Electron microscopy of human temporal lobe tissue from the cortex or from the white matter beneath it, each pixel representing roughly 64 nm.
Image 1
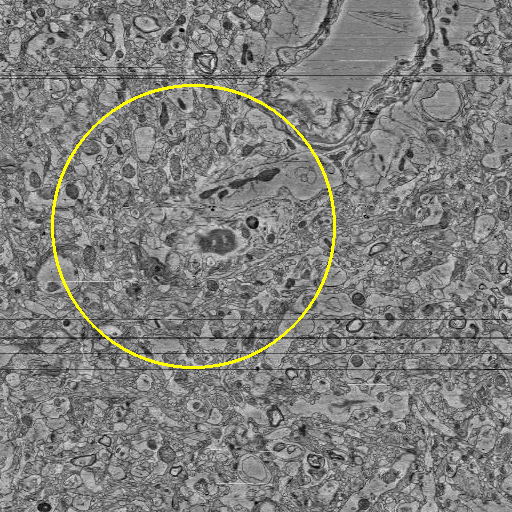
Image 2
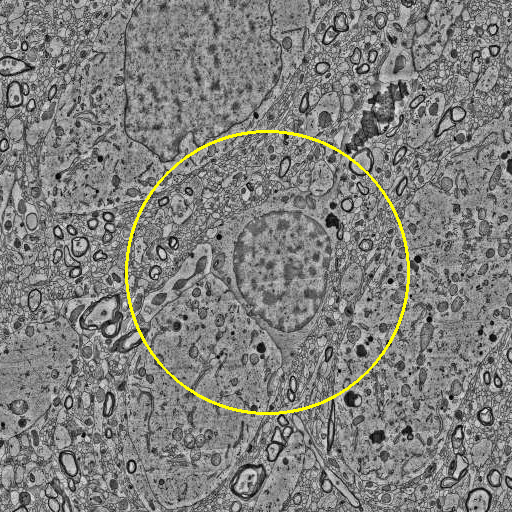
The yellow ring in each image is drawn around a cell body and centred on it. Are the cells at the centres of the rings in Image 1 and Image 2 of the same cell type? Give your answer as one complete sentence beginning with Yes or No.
No, the two cells are of two separate types.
